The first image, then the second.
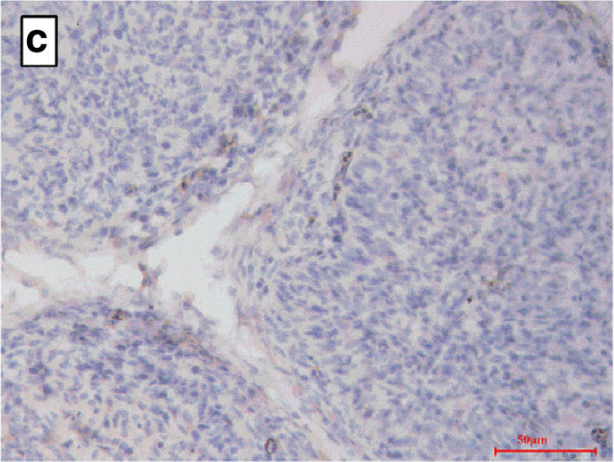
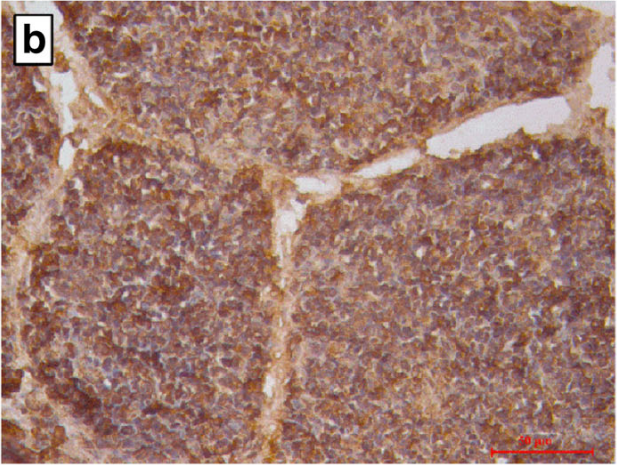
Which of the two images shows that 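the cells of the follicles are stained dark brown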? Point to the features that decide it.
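First image: the follicle cells show blue nuclei with almost no brown colour. Second image: the densely packed follicle cells are stained dark brown throughout.
Hence: the second image.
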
